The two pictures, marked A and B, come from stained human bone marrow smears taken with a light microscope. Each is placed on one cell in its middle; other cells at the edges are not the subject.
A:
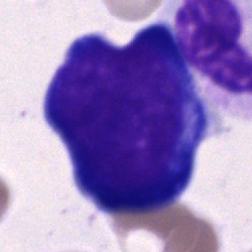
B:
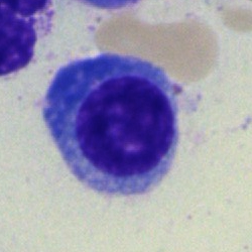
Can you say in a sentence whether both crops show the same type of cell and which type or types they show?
No, crop A and crop B contain, respectively, a proerythroblast and a plasma cell.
